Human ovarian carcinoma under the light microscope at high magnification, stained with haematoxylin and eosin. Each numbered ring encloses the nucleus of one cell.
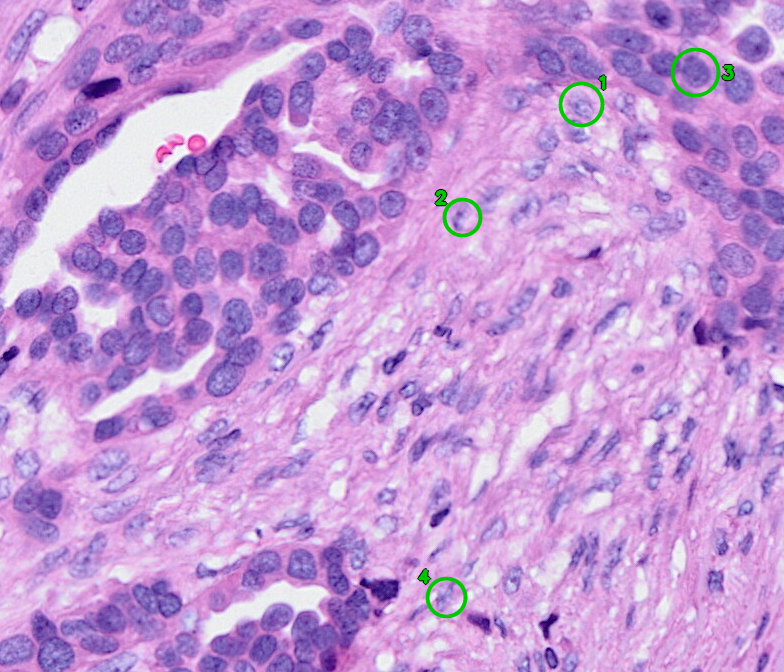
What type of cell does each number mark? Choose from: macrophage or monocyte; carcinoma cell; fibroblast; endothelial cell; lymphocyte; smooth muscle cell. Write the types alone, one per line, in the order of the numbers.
fibroblast
fibroblast
carcinoma cell
fibroblast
